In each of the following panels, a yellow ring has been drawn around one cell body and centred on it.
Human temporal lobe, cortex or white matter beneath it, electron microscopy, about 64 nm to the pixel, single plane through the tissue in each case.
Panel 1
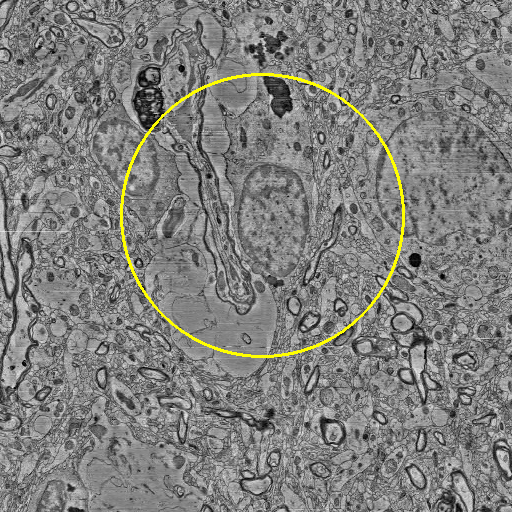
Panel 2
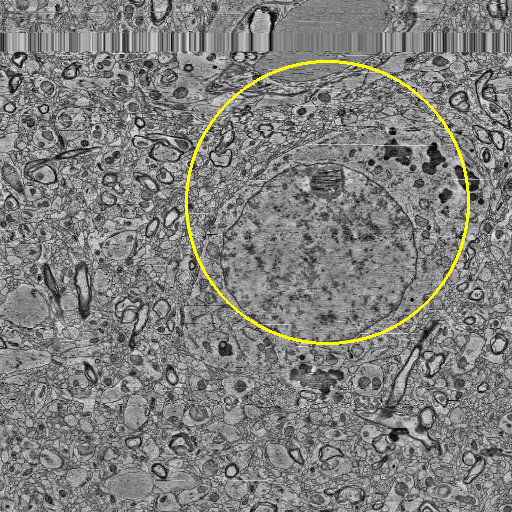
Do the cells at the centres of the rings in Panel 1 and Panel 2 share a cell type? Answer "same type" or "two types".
two types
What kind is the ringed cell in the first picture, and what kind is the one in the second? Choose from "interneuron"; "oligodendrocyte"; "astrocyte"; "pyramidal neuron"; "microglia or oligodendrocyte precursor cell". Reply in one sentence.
The first cell is an oligodendrocyte; the second is a pyramidal neuron.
